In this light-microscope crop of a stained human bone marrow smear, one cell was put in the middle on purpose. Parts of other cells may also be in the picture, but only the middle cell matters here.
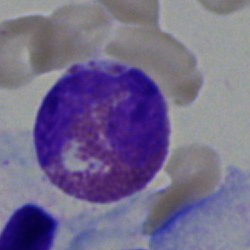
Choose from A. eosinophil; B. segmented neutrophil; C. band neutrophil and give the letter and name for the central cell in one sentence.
Since the cell in the centre is an eosinophil, the correct option is A.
